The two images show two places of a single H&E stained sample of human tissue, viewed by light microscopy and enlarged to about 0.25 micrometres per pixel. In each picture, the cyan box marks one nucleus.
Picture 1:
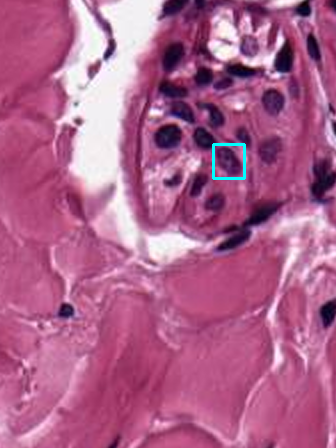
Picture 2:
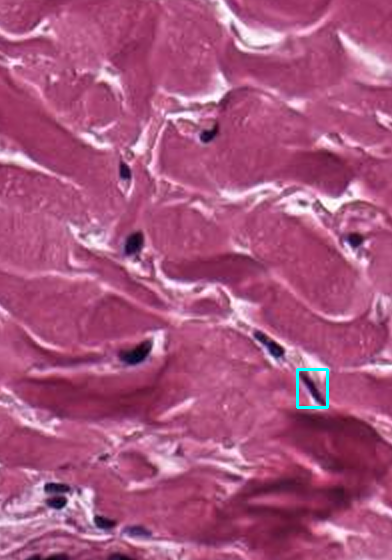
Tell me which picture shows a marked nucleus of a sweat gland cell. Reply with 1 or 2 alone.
1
